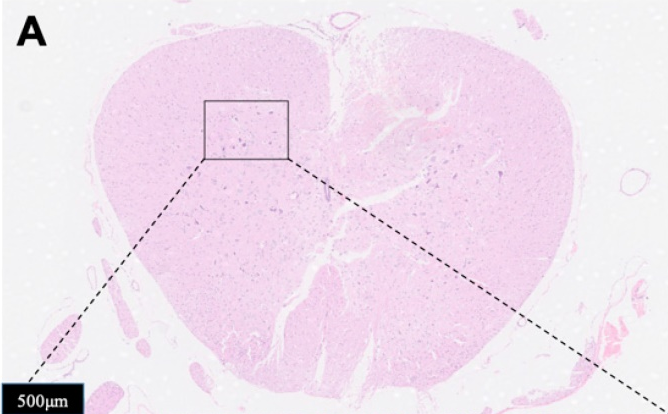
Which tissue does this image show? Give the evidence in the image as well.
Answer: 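A rounded cross-section with a midline cleft dividing two symmetric halves. Surrounding thin membranes and small nerve roots at the edges.
Conclusion: spinal cord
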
